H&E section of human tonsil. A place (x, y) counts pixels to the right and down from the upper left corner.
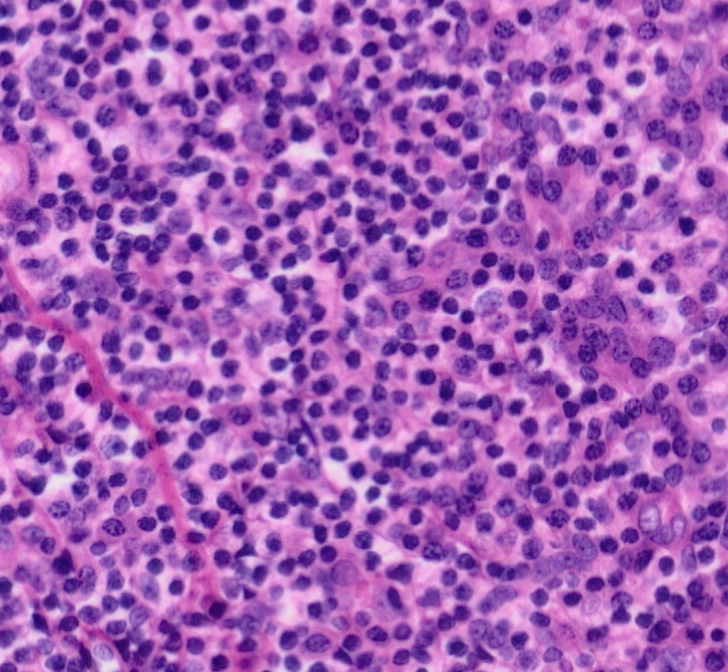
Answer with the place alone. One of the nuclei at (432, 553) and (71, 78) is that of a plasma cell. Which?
(432, 553)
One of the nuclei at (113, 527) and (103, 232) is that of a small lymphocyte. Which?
(103, 232)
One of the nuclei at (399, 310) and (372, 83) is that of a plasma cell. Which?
(399, 310)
